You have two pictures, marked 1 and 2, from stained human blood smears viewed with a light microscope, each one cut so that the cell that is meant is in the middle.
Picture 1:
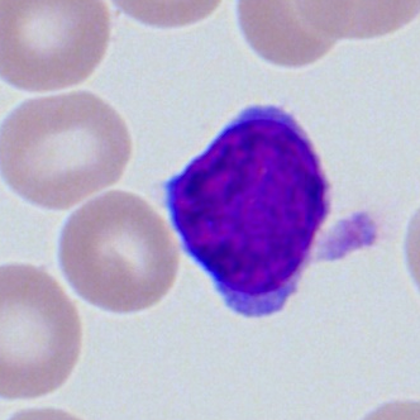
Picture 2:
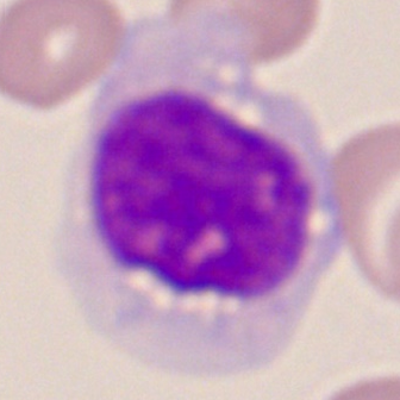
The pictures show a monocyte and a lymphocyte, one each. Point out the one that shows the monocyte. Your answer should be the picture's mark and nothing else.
2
